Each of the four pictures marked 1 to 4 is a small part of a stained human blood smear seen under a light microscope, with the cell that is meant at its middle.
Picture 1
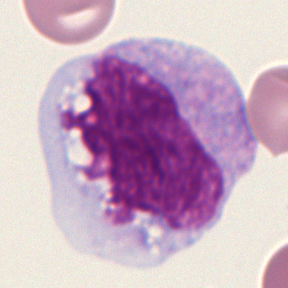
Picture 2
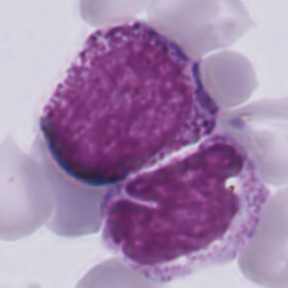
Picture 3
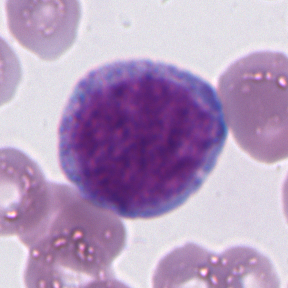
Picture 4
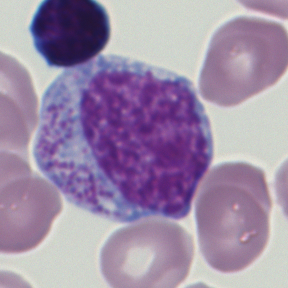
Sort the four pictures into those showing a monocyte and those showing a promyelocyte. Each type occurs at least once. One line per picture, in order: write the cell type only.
monocyte
promyelocyte
promyelocyte
promyelocyte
